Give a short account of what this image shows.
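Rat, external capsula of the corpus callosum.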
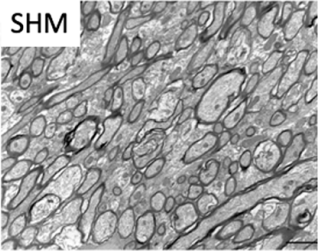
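White matter in which numerous myelinated axons are cut in cross and oblique section. Each axon appears as a pale, finely textured axoplasm surrounded by a dark, electron-dense myelin ring. Some fibres are cut obliquely and appear as elongated ovals with sheaths along their sides.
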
